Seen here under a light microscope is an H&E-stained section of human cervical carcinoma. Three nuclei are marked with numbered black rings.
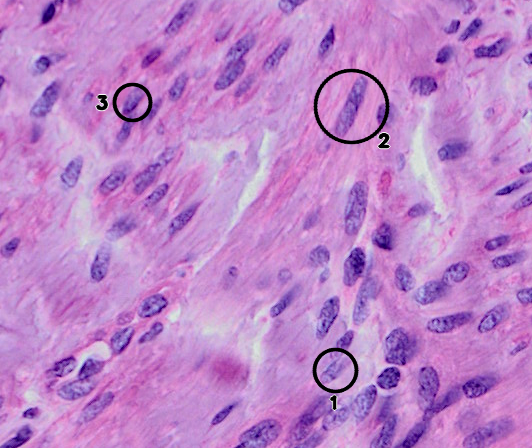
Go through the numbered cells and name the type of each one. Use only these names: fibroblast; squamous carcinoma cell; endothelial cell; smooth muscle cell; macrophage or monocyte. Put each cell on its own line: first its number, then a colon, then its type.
1: fibroblast
2: smooth muscle cell
3: smooth muscle cell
